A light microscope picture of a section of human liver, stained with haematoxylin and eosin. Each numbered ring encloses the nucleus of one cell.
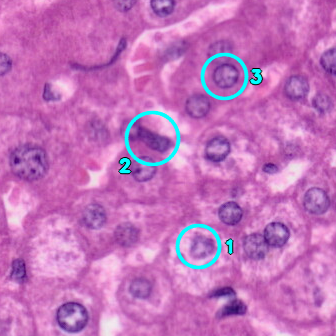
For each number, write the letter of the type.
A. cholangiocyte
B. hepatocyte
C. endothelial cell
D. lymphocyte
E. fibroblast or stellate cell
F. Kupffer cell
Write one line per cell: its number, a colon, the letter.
1: B
2: F
3: B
